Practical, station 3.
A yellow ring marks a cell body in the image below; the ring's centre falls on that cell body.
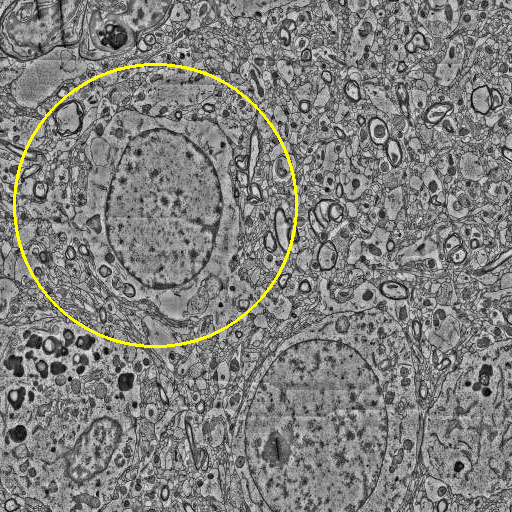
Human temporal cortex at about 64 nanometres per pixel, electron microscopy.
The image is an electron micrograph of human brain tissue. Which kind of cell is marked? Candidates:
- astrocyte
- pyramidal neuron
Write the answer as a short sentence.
The marked cell body is that of an astrocyte.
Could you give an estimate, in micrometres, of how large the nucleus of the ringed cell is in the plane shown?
Roughly 10 by 7 micrometres in this plane, for the nucleus of the ringed cell.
